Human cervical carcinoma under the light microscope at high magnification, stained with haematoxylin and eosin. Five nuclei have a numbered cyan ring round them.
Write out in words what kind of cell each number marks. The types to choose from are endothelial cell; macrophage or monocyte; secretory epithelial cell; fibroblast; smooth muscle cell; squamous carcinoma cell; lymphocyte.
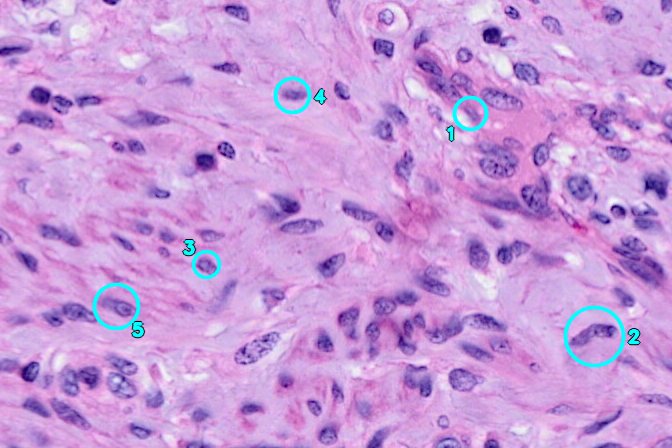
Cell 1 is an endothelial cell, cell 2 is a fibroblast, cell 3 is a smooth muscle cell, cell 4 is a fibroblast and cell 5 is a smooth muscle cell.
